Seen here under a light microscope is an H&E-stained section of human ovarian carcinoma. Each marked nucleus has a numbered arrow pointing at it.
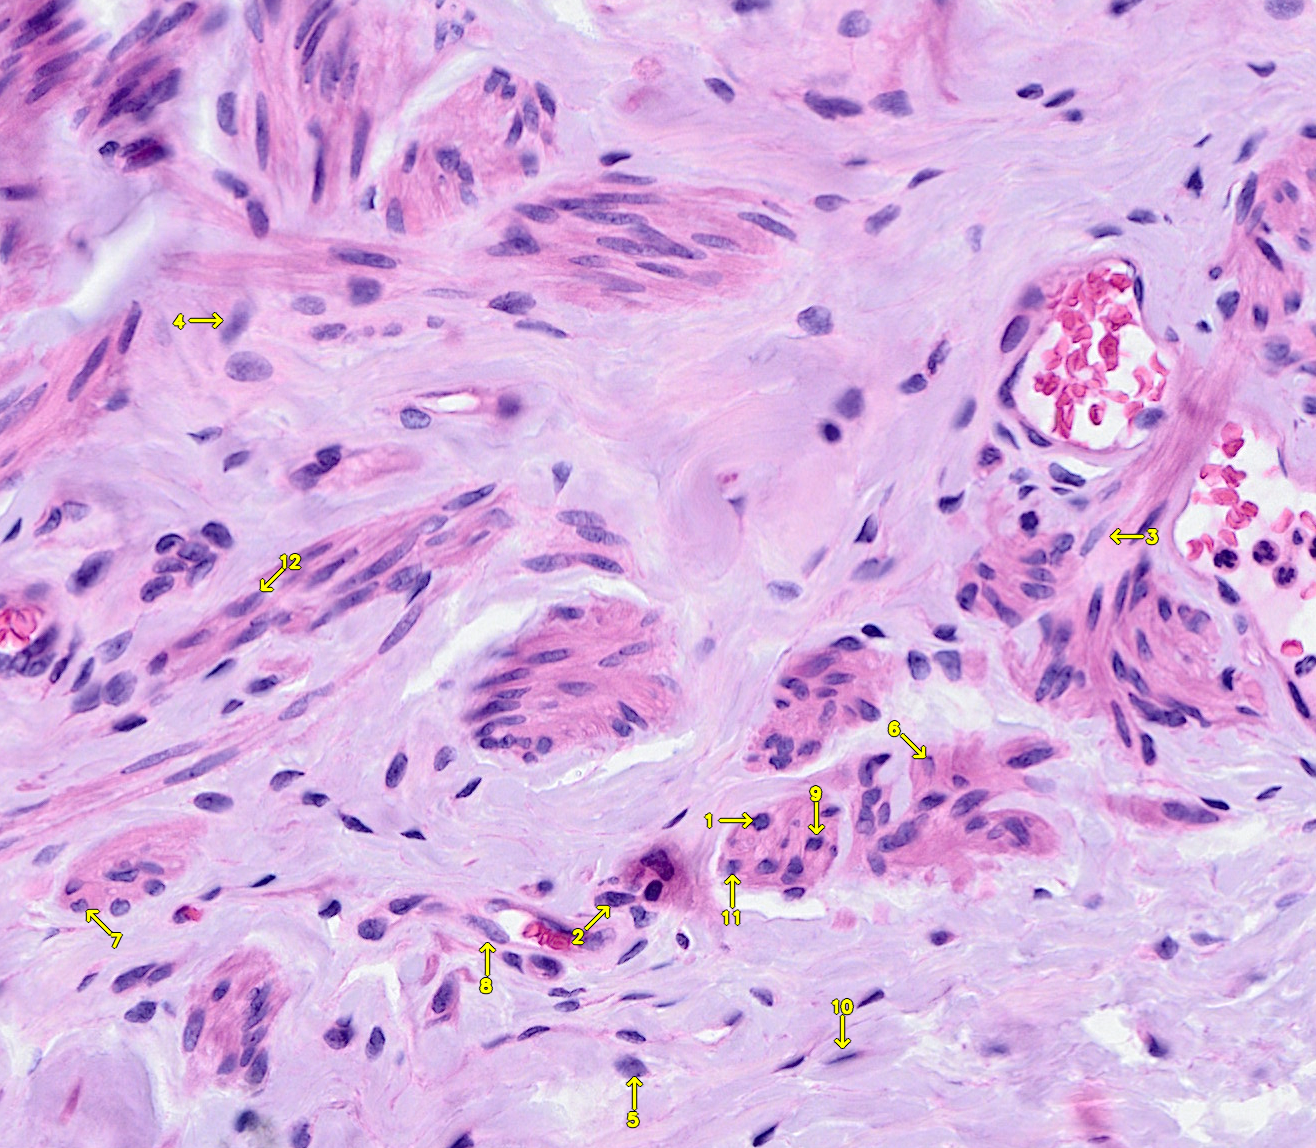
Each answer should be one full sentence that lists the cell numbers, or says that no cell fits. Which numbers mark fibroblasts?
Within the section, cells numbered 4, 5 and 10 are fibroblasts.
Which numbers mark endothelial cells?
In this section, the cells numbered 2 and 8 are endothelial cells.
